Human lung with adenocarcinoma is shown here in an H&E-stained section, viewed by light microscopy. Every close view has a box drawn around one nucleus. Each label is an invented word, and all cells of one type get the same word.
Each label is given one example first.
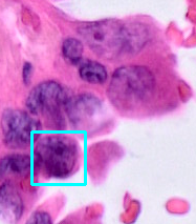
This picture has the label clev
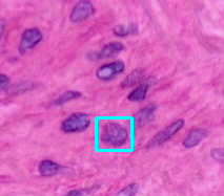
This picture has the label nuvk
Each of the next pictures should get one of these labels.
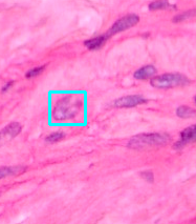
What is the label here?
nuvk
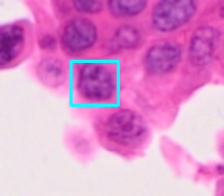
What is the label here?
clev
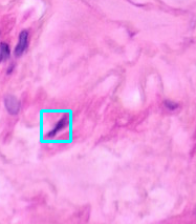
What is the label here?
nuvk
